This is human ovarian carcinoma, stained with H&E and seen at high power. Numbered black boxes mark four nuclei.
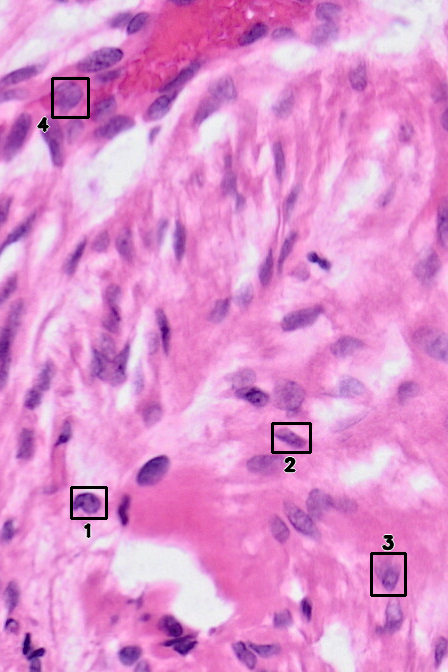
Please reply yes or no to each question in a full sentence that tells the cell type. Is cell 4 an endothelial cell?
Yes, the cell referred to as number 4 is an endothelial cell.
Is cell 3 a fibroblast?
Yes, the marked cell number 3 is a fibroblast.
